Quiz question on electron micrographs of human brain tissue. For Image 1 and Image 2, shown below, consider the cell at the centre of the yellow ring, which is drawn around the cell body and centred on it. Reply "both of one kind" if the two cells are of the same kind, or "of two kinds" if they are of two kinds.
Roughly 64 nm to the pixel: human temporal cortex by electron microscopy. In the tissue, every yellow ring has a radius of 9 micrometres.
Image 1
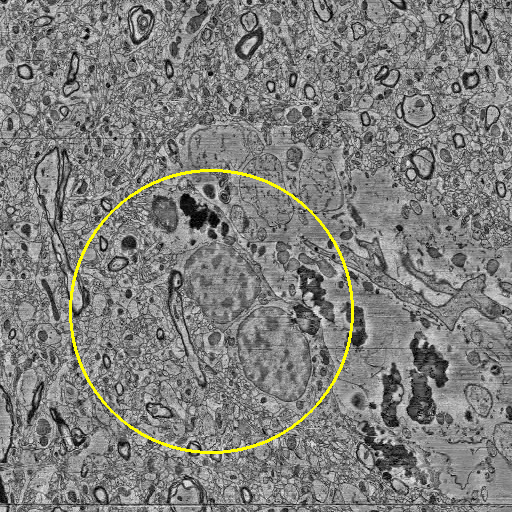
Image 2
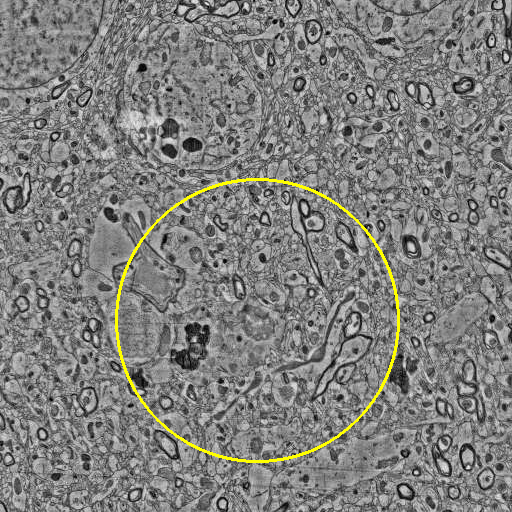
both of one kind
